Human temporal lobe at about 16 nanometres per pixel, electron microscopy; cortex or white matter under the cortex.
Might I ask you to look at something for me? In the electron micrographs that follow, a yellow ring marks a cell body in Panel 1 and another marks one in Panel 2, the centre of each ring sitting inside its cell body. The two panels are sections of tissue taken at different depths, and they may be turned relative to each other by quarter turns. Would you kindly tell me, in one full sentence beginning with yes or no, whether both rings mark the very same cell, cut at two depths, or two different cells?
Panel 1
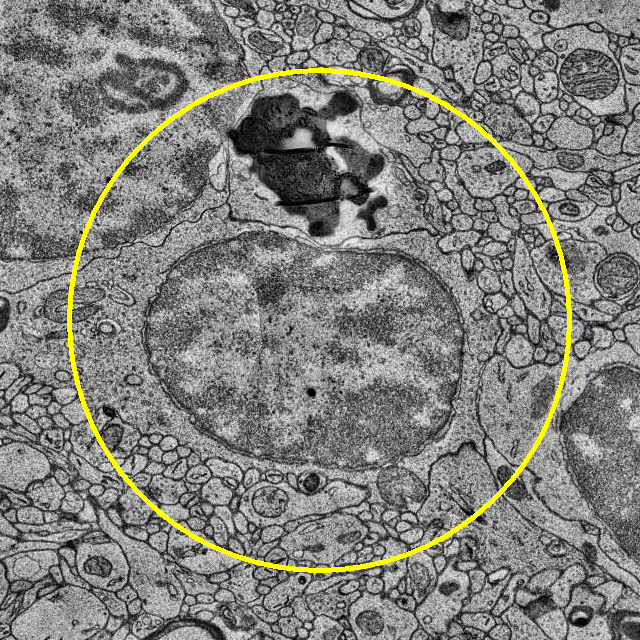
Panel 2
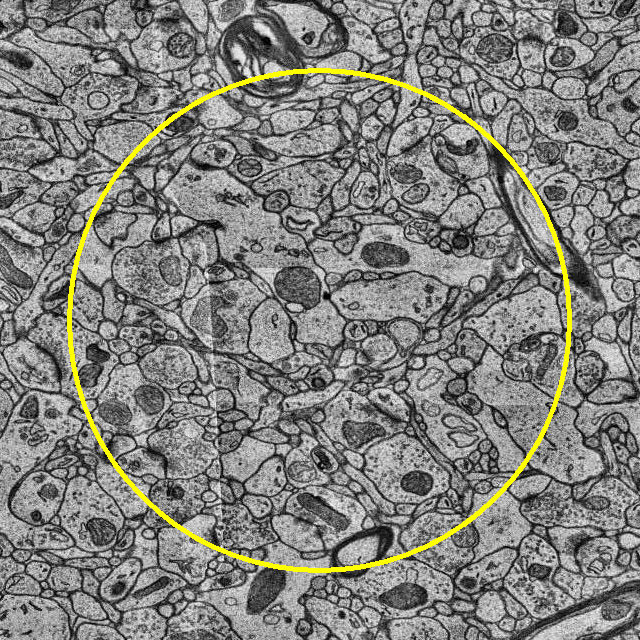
Yes, the two rings refer to one cell in the tissue.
